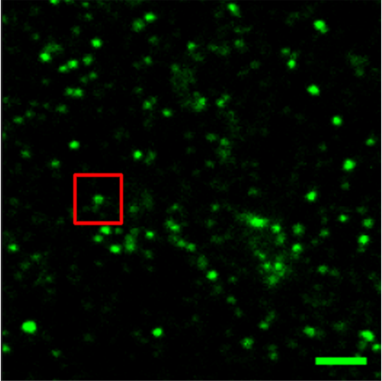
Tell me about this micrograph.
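The dots are scattered fairly evenly across the field, singly and without any tissue or cell outlines around them. They vary in brightness and a little in size: some are sharp and intense, while others are fainter and more diffuse. In places, particularly toward the centre right, a faint green haze with dimmer particles lies between the bright dots.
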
